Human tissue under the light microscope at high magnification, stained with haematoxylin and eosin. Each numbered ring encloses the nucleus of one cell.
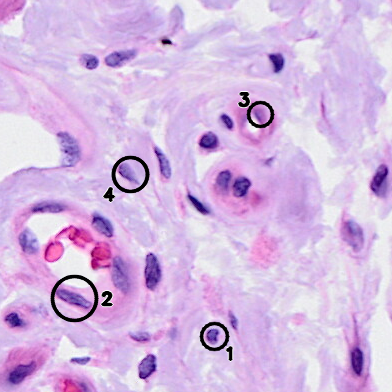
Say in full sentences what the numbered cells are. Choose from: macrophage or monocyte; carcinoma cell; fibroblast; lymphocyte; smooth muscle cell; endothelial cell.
Cell 1 is a lymphocyte, cell 2 is an endothelial cell, cell 3 is an endothelial cell and cell 4 is a fibroblast.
